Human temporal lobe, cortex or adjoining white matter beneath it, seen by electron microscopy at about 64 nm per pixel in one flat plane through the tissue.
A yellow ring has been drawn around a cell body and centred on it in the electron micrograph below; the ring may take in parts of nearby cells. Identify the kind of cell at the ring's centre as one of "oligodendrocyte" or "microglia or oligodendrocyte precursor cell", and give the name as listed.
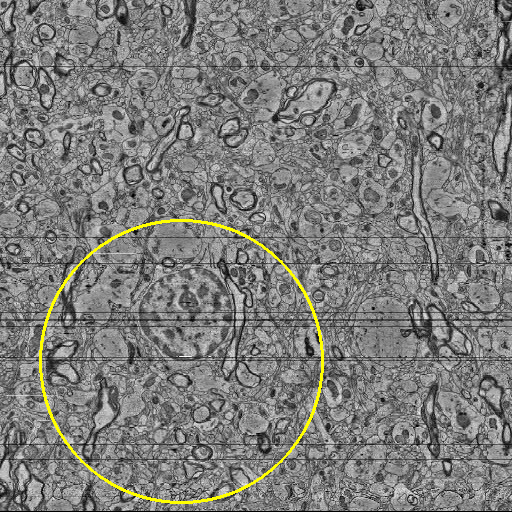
microglia or oligodendrocyte precursor cell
